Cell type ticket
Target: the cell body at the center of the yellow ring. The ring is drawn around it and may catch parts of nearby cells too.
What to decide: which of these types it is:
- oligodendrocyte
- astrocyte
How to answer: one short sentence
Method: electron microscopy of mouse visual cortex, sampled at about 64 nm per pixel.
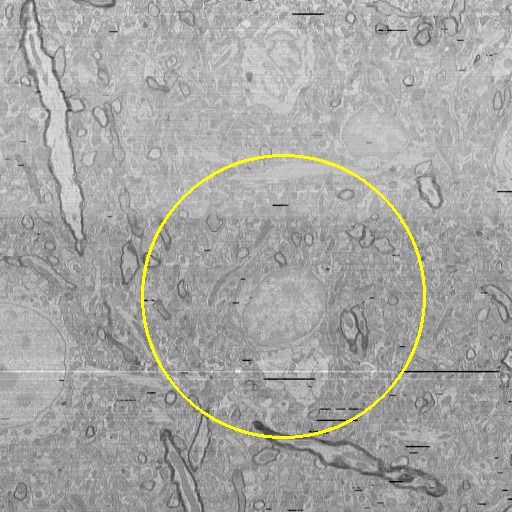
The cell at the center of the ring is an oligodendrocyte.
